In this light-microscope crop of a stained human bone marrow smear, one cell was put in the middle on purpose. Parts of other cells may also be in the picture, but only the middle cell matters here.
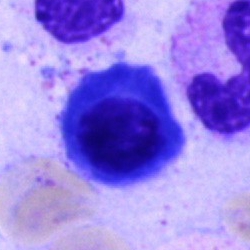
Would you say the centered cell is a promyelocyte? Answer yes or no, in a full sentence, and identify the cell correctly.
No, not a promyelocyte but a plasma cell is the cell in the centre.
